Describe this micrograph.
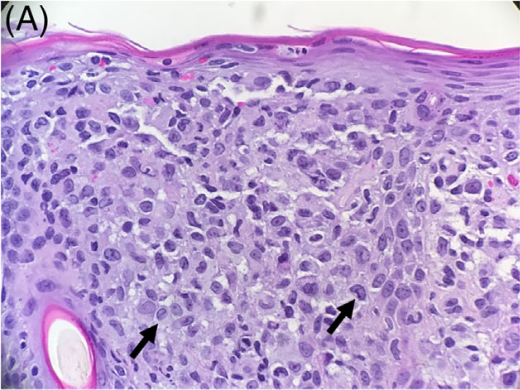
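Skin with a dense infiltrate of epithelioid Langerhans cells filling the field beneath a thin pink cornified layer. Nuclei are oval to kidney-shaped, irregularly folded, with fine chromatin and frequent longitudinal grooves. A cross-cut hair shaft, a bright pink ring around a pale centre, sits at the lower left edge. Small clefts and spaces separate groups of cells near the surface.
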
